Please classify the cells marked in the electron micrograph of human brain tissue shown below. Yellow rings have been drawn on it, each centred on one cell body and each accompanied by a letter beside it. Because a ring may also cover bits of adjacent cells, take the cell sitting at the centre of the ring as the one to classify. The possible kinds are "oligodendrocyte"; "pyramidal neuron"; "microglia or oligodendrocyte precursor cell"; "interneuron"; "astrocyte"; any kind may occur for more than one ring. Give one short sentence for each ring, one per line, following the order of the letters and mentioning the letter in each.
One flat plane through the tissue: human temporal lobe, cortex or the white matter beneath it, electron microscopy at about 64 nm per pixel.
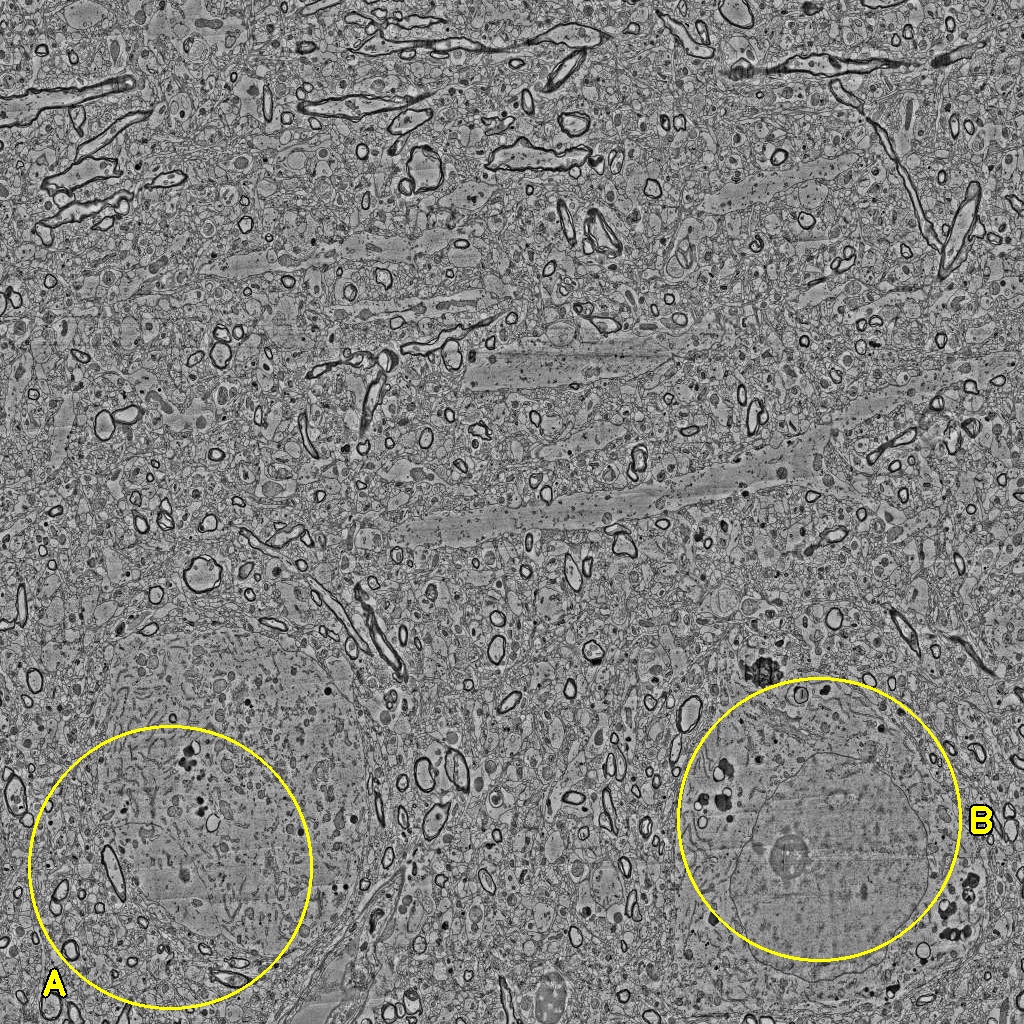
Ring A marks the cell body of a microglial cell or oligodendrocyte precursor cell.
Ring B marks the cell body of a pyramidal neuron.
